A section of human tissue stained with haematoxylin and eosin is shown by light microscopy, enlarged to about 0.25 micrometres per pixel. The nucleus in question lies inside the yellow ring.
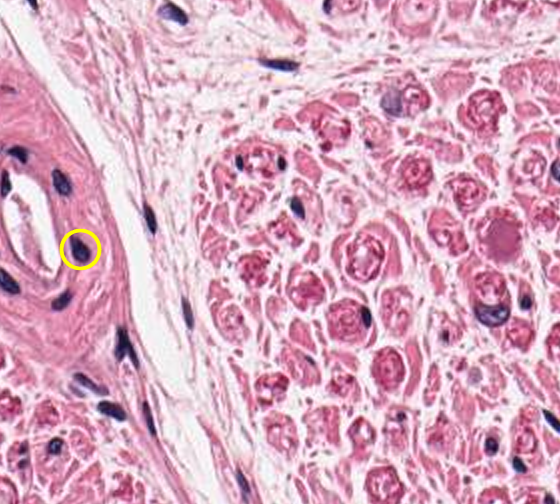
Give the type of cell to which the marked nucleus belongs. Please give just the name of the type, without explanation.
smooth muscle cell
